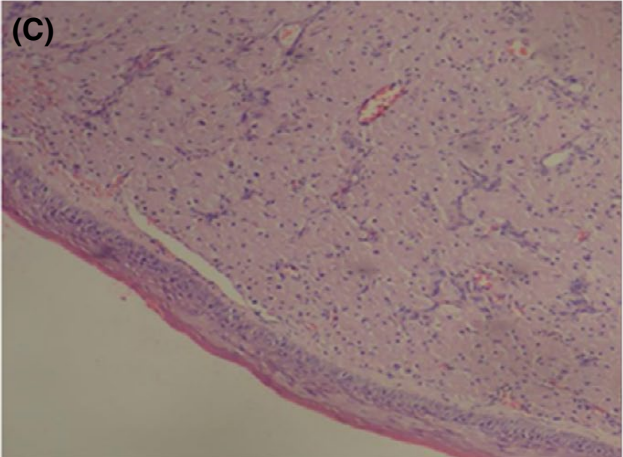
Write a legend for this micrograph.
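At low power, this field shows a mass of pale pink granular cells lying in a fibrovascular stroma. Small vessels holding red blood cells are scattered through the tissue, with delicate strands running between the cells. Along the lower left edge, the tissue is covered by a thin surface epithelium. It shows as a narrow pink line with a thin band of closely packed dark nuclei beneath it. Just under this lining, a narrow cleft separates it from the cellular tissue.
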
